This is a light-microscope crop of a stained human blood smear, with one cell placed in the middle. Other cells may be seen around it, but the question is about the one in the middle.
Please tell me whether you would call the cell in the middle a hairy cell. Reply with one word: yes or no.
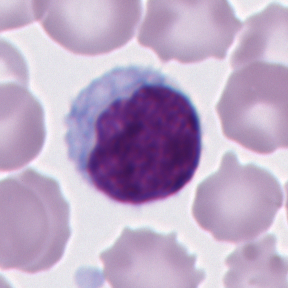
yes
